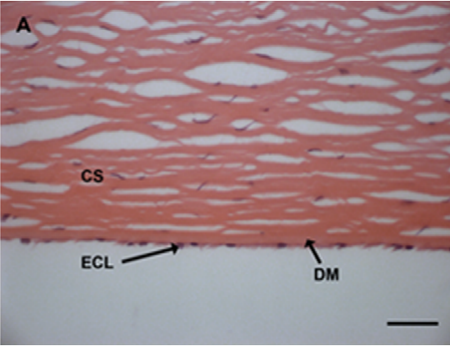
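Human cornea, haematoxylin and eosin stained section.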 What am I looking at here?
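The stroma consists of stacked pink lamellae running parallel to the surface, separated by many slit-like clear spaces, with sparse thin, elongated dark nuclei lying flattened between the lamellae. At the bottom, a thin smooth membrane separates the stroma from a single row of flattened cells with small purple nuclei facing the empty space below.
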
